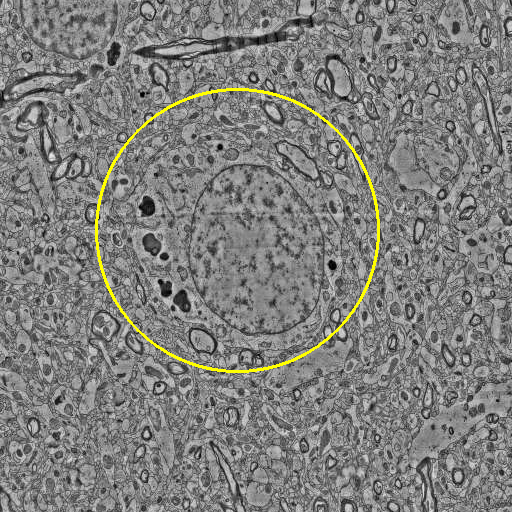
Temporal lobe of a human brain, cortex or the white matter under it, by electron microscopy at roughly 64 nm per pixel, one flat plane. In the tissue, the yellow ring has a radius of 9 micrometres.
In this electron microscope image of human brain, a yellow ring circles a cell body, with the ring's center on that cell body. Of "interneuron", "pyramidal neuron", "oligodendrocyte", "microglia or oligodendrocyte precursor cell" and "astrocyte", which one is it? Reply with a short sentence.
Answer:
It is a pyramidal neuron at the center of the ring.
